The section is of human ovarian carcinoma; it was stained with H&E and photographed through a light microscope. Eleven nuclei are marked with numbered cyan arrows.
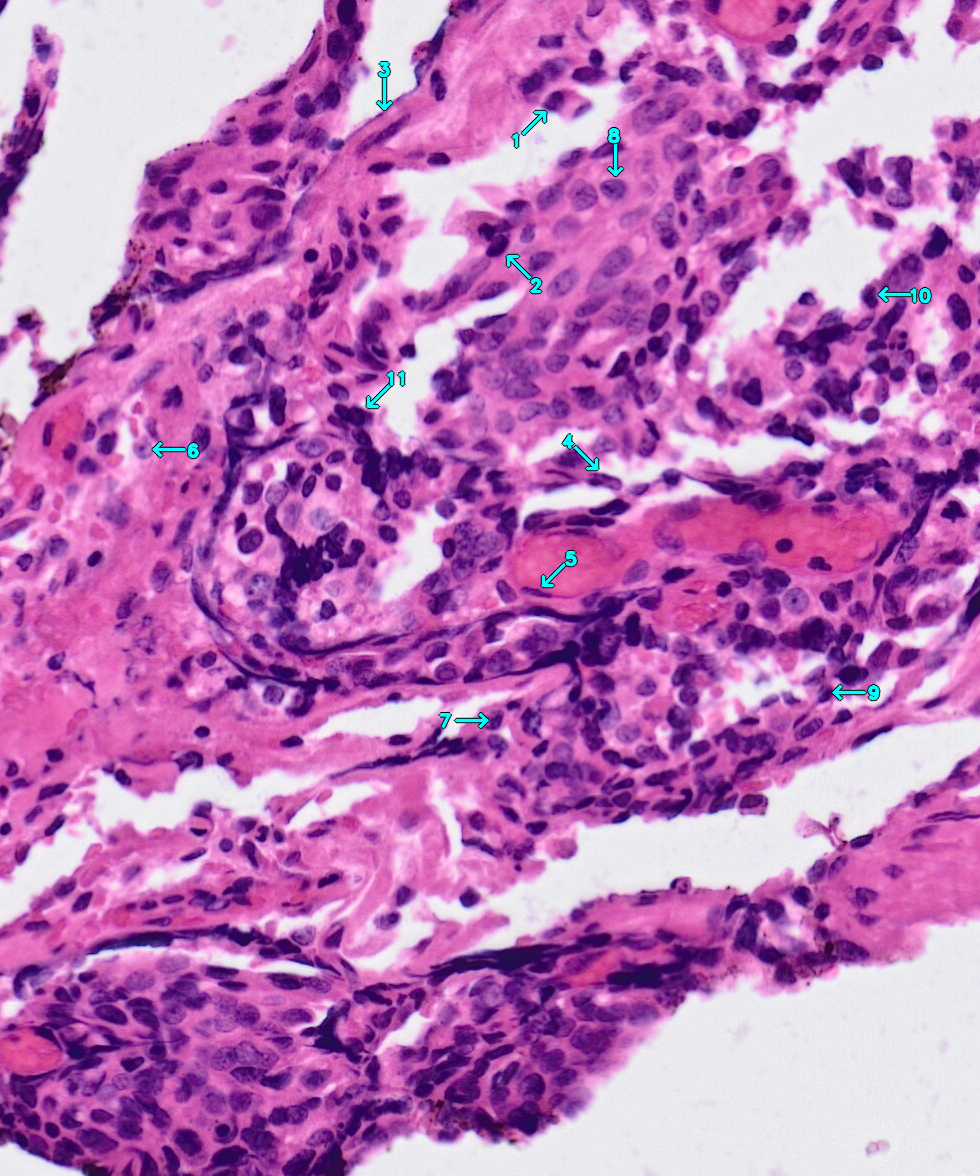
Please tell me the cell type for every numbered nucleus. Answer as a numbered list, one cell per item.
1. carcinoma cell
2. carcinoma cell
3. fibroblast
4. carcinoma cell
5. endothelial cell
6. macrophage or monocyte
7. macrophage or monocyte
8. macrophage or monocyte
9. macrophage or monocyte
10. macrophage or monocyte
11. carcinoma cell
